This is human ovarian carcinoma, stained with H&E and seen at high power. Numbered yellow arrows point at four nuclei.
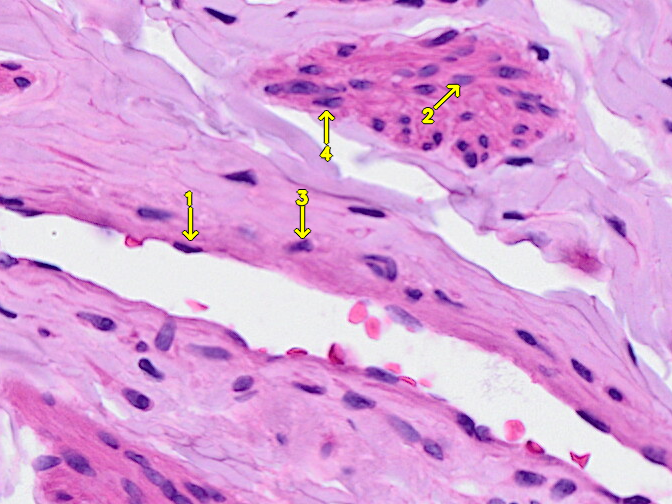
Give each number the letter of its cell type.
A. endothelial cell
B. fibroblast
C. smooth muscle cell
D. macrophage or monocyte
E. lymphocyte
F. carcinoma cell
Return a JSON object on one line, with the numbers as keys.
{"1": "A", "2": "C", "3": "C", "4": "C"}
